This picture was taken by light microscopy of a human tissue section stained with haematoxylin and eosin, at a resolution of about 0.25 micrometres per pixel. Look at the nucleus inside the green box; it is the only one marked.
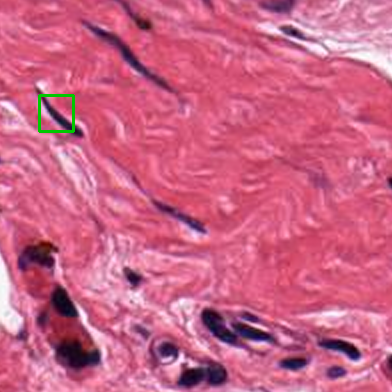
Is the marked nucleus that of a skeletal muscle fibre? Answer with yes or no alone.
no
